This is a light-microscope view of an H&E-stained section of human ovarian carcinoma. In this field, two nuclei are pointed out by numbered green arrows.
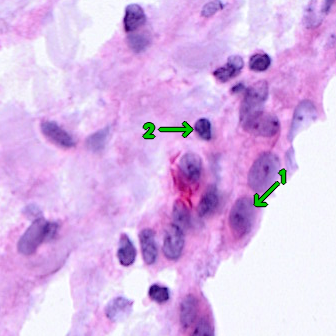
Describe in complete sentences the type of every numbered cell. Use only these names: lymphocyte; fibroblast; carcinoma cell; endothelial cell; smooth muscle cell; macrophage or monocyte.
Cell 1 is a carcinoma cell and cell 2 is a lymphocyte.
